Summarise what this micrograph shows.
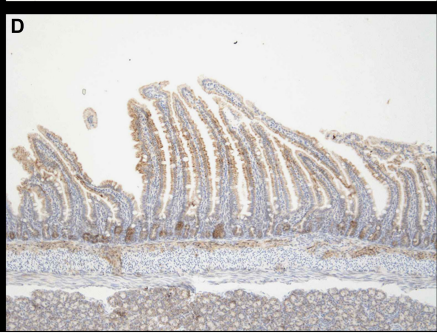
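This section of small intestine shows tall slender villi lined by columnar enterocytes. Brown staining fills the enterocyte layer along much of the villi, whereas the villus cores are pale blue.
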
